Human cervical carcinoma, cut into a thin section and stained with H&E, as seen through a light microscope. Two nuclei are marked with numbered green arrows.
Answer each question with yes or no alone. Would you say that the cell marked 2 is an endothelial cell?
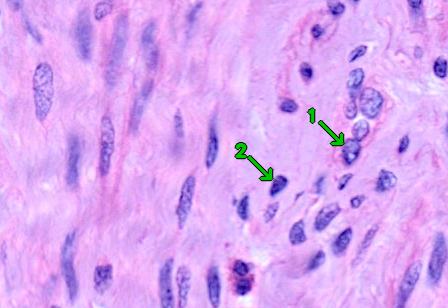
no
